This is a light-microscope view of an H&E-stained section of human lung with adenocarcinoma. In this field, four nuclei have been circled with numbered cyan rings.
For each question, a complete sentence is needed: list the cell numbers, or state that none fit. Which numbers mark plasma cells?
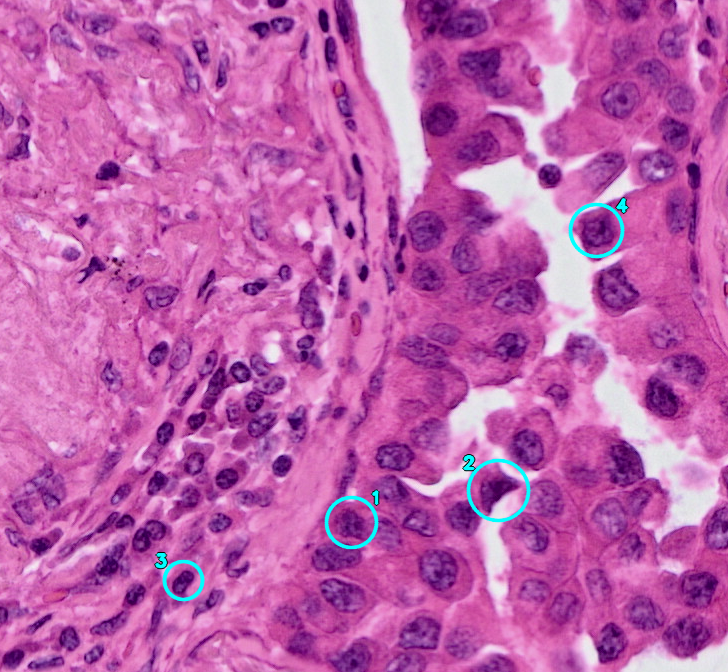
Being a plasma cell is true of cell 3 and of no other numbered cell.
